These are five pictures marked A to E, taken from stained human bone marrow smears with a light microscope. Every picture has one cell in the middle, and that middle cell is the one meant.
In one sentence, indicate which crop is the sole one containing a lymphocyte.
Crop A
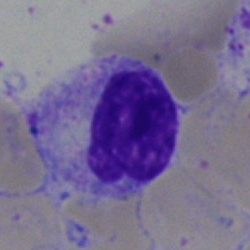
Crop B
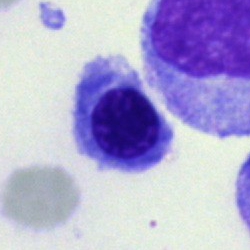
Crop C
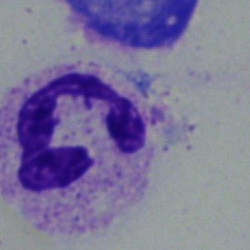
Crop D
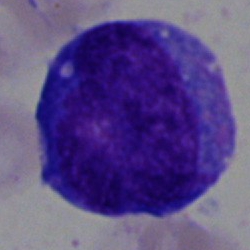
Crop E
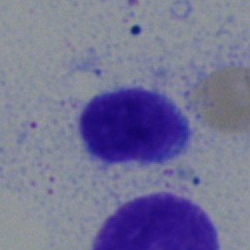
Of all the crops, crop E is the one showing a lymphocyte.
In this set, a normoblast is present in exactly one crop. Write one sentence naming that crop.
Crop B is the crop featuring a normoblast at its center.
